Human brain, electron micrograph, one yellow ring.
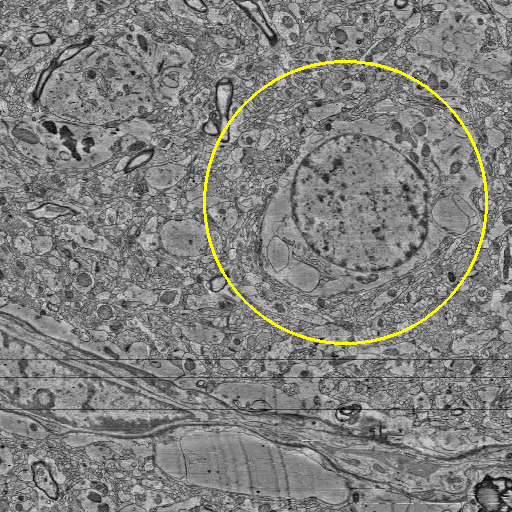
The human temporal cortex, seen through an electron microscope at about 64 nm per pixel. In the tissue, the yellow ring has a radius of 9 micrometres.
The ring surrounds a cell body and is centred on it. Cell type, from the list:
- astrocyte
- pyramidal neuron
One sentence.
The yellow ring circles an astrocyte.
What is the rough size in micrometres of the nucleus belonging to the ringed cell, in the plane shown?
Roughly 9 micrometers across in this plane.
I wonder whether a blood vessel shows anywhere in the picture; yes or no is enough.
Yes.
